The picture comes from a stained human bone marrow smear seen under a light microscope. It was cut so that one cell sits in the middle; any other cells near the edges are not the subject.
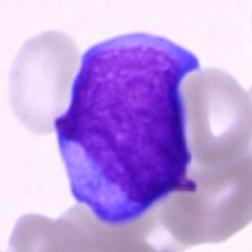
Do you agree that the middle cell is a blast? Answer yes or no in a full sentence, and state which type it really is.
Yes, the cell found at the centre of the crop is a blast.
